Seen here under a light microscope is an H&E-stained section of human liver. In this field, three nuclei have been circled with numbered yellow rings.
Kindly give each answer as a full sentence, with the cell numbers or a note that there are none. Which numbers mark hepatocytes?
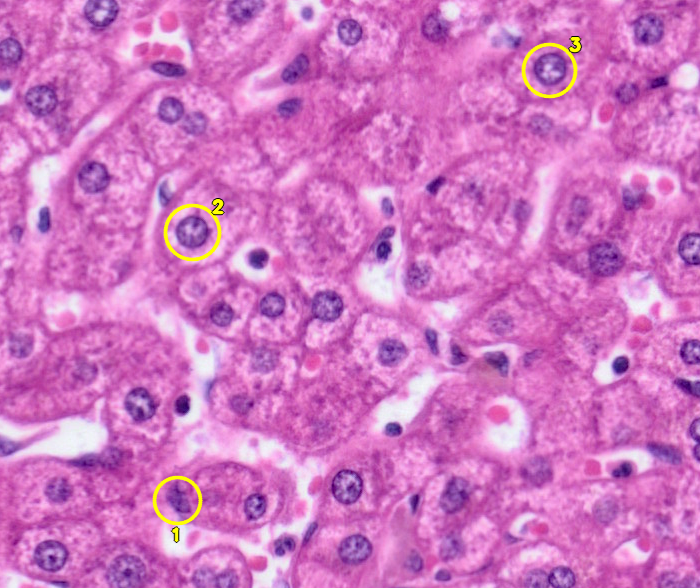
The cells that have been numbered 2 and 3 are hepatocytes.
